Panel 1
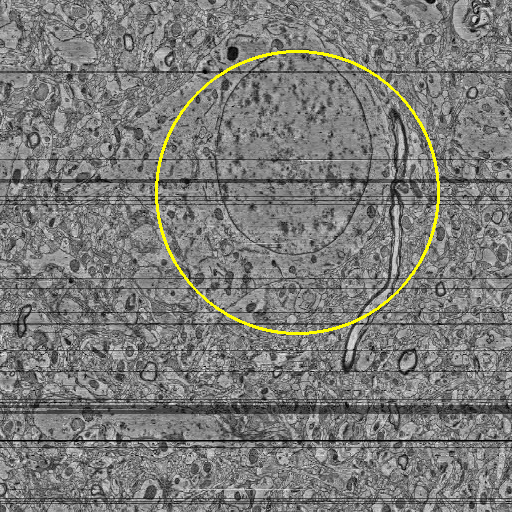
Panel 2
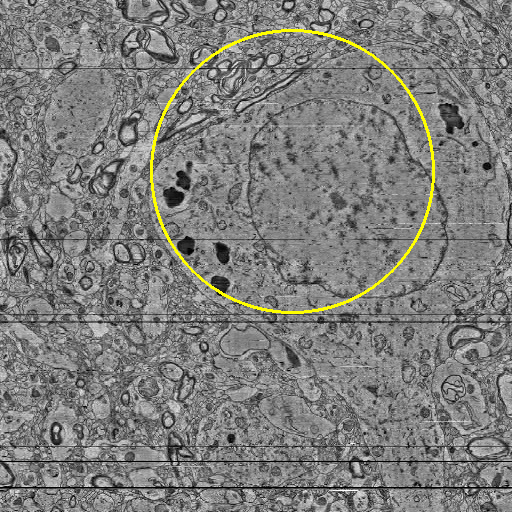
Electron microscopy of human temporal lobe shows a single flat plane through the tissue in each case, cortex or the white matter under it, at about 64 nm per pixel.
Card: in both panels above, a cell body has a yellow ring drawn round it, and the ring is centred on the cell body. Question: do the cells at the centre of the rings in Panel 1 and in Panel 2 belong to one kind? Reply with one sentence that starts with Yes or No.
Yes, the cells centred in the rings of Panel 1 and Panel 2 are one kind of cell.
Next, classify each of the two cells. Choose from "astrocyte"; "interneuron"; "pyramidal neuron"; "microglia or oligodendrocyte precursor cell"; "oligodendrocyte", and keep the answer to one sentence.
Each of the ringed cells, first and second, is a pyramidal neuron.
